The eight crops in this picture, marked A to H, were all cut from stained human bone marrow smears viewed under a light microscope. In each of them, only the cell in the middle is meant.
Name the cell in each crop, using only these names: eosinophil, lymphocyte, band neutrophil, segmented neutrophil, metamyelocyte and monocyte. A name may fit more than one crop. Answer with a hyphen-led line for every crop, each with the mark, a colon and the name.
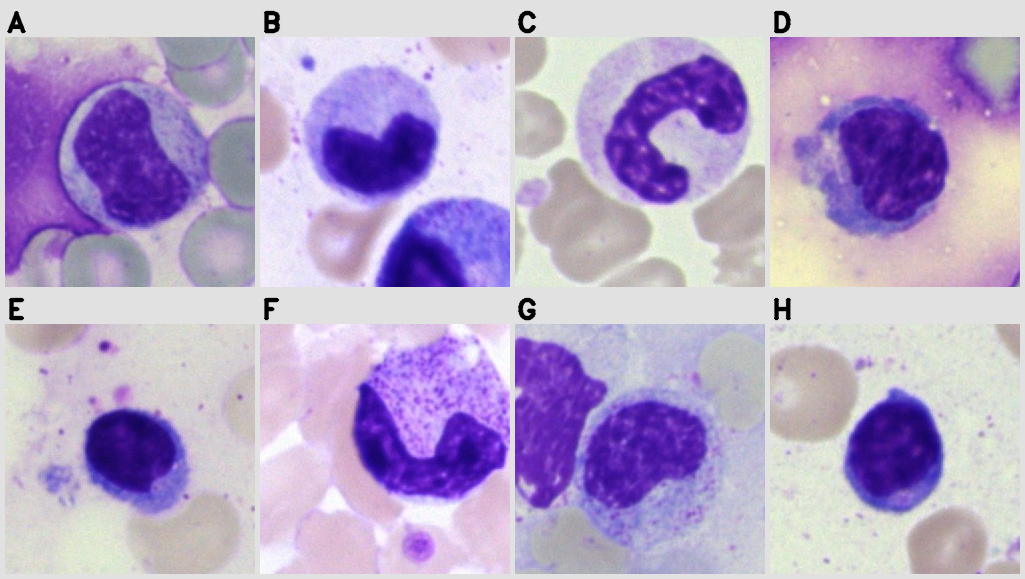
- A: metamyelocyte
- B: metamyelocyte
- C: band neutrophil
- D: monocyte
- E: lymphocyte
- F: band neutrophil
- G: metamyelocyte
- H: lymphocyte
